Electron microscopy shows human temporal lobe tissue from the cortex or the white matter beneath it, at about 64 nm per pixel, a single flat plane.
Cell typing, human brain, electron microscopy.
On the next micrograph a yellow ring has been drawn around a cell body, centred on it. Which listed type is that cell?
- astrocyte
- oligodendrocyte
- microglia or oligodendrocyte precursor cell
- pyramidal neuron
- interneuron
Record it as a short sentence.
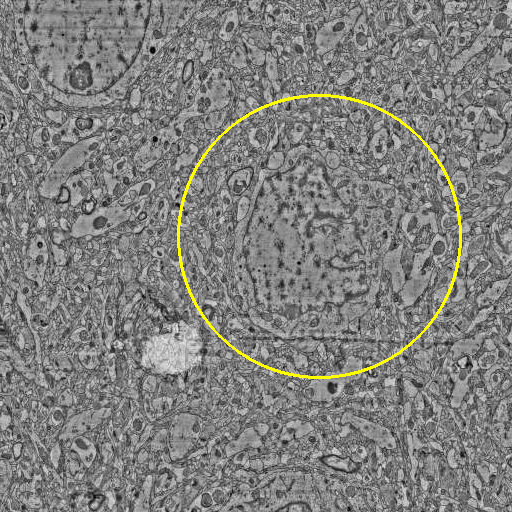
The cell body in the ring's centre belongs to an interneuron.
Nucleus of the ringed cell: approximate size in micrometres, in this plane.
About 9 micrometres across in this plane.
